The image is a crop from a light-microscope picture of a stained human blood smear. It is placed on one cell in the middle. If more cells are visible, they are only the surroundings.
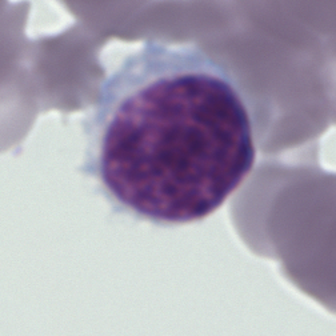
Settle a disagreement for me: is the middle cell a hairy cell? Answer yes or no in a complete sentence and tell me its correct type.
Yes, as for the central cell, it is a hairy cell.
